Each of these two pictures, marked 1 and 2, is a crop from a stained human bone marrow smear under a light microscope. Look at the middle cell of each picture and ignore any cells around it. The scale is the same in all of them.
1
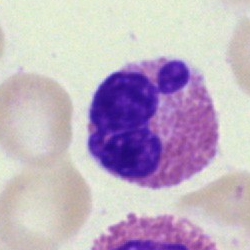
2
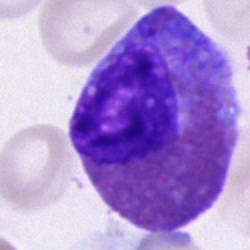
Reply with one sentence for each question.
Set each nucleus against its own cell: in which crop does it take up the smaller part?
Of the two, the nucleus in crop 2 leaves more room for cytoplasm.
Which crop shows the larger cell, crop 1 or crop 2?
The cell in crop 2 is larger, with about 2 times the area of the one in crop 1.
